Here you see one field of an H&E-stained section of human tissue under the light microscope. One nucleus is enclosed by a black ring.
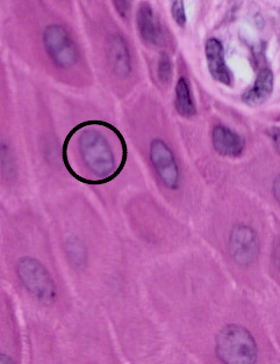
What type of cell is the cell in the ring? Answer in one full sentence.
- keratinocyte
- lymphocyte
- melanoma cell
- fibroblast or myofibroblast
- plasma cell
As classified here, the cell in the ring is a keratinocyte.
